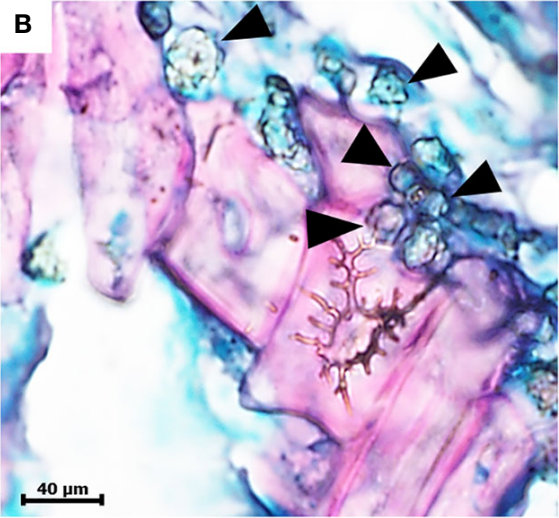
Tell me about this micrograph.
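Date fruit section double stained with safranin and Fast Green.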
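In one cell, branched canals run through the thickened wall like the limbs of a tree. Along the edge of these cells lies a row of small round bodies with spiny, knobbly surfaces, which are globular echinate phytoliths. These bodies sit in surrounding tissue stained blue-green.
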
